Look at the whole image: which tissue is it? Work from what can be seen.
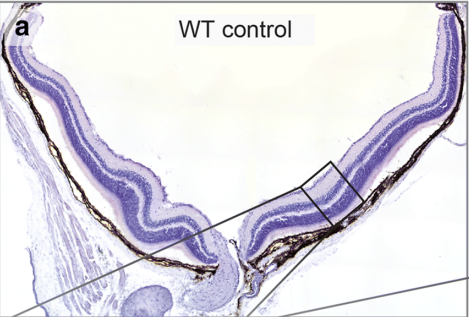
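Whole retinas. A curved, multilayered band of tissue lines the back of an eye section. Alternating dark purple nuclear bands and paler bands run along its length. A black pigmented layer lies along its outer surface.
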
